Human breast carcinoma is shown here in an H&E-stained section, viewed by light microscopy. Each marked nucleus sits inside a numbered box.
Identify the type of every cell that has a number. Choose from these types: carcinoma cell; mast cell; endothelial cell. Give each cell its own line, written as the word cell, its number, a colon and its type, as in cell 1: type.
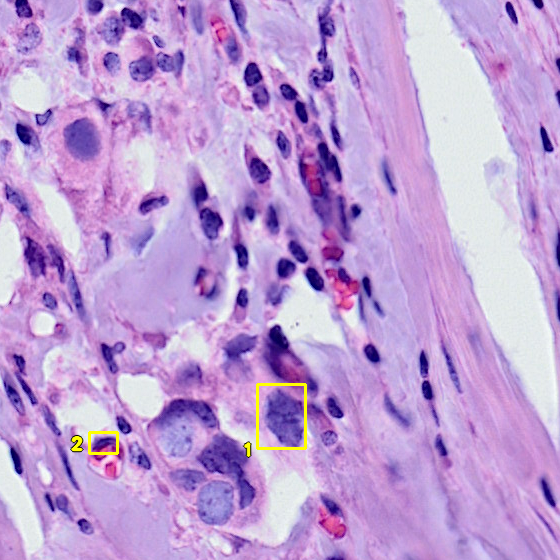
cell 1: carcinoma cell
cell 2: endothelial cell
